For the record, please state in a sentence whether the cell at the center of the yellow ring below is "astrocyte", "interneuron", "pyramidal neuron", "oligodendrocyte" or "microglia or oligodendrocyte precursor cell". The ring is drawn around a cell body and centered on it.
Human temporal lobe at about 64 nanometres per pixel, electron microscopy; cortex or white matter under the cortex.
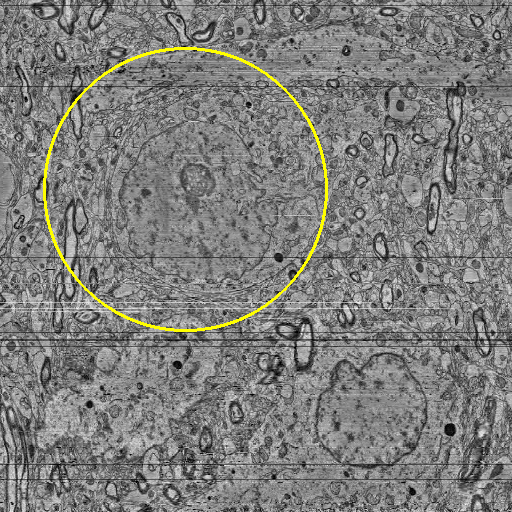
The cell at the ring's center is an interneuron.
